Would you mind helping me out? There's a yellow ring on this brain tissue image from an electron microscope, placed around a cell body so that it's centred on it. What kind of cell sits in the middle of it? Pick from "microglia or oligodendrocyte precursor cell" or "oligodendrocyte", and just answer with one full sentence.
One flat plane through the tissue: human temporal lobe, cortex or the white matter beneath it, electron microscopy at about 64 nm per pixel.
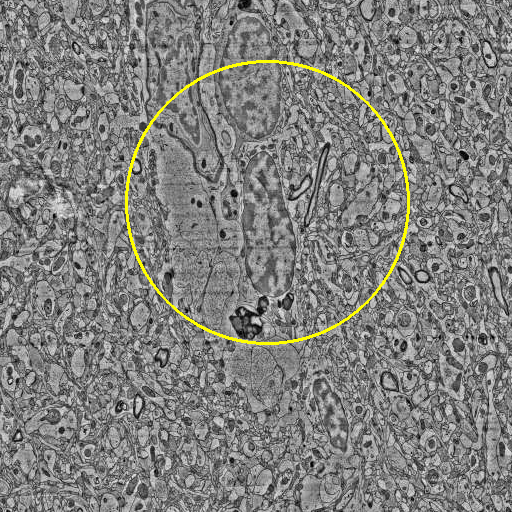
What sits in the middle of that yellow ring is a microglial cell or oligodendrocyte precursor cell, from your choices.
